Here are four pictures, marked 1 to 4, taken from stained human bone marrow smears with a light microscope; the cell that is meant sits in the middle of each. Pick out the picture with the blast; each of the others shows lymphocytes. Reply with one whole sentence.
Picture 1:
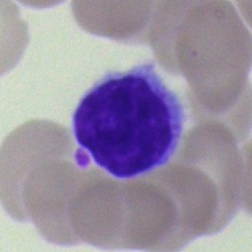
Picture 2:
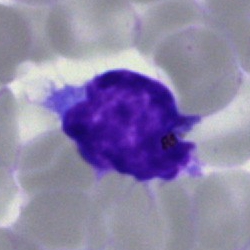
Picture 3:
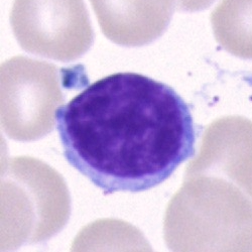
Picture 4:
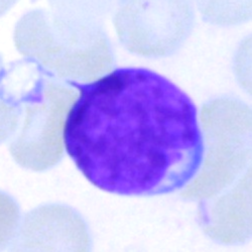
The blast is the one in picture 4.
